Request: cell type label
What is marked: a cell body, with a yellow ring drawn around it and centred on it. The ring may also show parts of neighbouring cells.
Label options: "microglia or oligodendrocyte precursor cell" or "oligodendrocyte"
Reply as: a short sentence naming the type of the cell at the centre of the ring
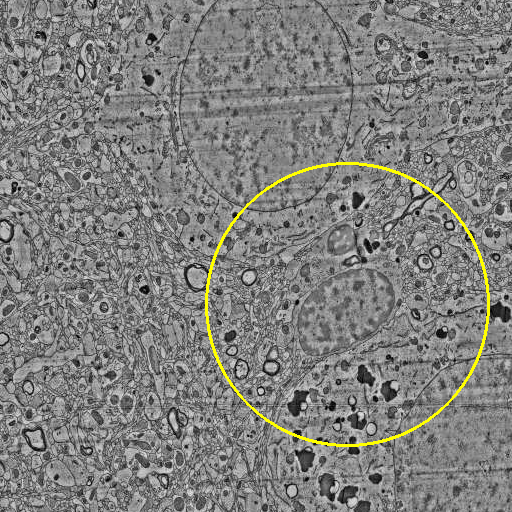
The marked cell body is that of an oligodendrocyte.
